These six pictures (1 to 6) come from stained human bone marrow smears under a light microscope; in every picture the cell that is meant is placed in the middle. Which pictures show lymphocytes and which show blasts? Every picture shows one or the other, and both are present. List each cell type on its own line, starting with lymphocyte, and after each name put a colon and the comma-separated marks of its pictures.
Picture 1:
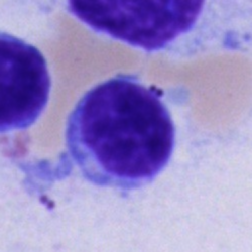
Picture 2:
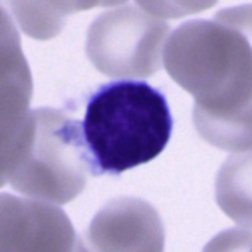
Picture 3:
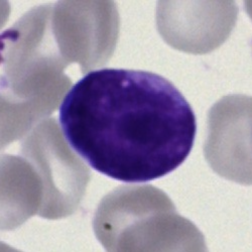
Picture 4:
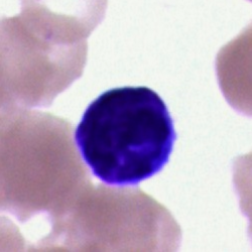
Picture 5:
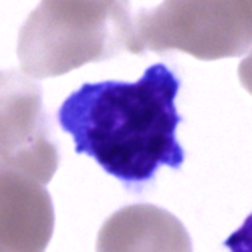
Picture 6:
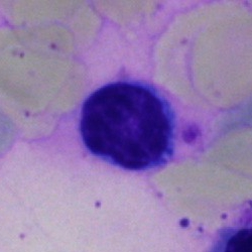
lymphocyte: 1, 2, 4, 6
blast: 3, 5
